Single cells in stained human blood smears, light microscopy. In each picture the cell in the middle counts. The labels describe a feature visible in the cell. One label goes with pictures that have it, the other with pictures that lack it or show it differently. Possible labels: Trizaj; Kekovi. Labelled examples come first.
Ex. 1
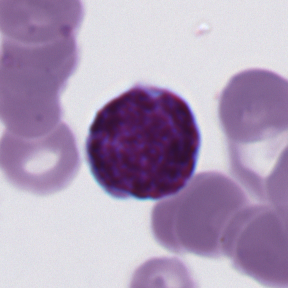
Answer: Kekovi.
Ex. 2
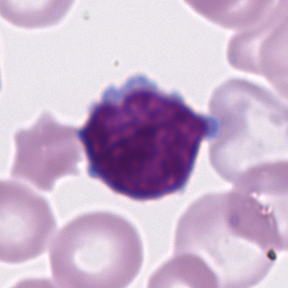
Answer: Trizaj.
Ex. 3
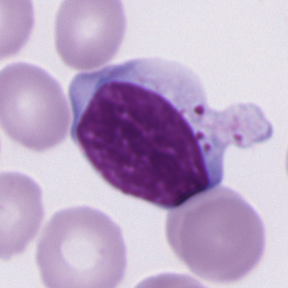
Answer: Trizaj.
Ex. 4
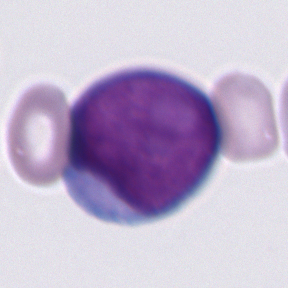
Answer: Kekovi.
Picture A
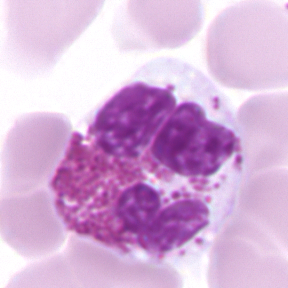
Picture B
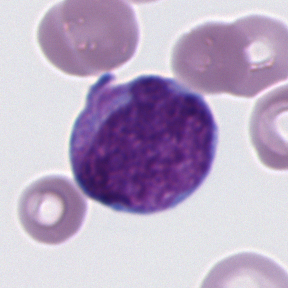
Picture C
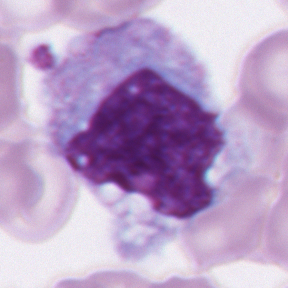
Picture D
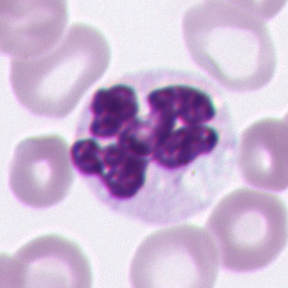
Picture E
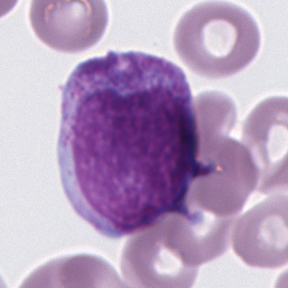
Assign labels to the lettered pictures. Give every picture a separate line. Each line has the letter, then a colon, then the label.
A: Kekovi.
B: Trizaj.
C: Trizaj.
D: Kekovi.
E: Trizaj.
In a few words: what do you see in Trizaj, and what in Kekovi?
In Trizaj: ragged outline or projections. In Kekovi: smooth outline.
